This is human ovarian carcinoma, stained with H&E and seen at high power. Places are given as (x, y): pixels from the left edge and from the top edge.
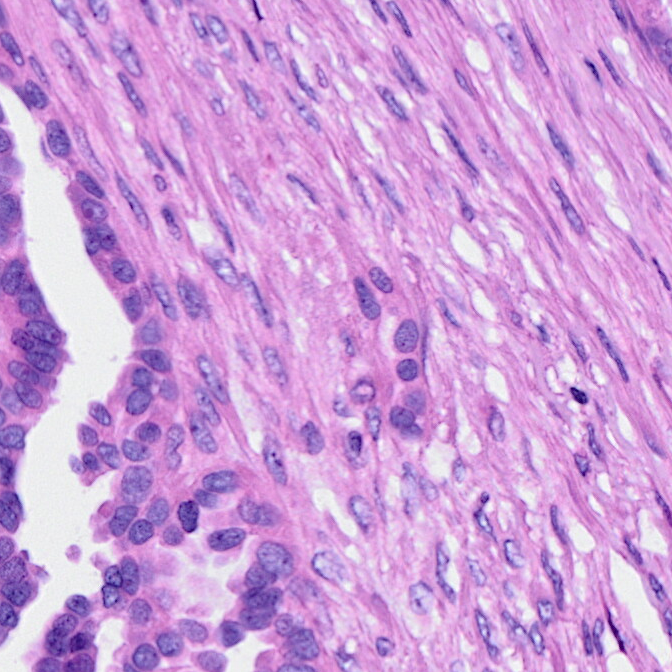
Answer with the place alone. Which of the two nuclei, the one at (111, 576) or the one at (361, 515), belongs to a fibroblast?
(361, 515)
